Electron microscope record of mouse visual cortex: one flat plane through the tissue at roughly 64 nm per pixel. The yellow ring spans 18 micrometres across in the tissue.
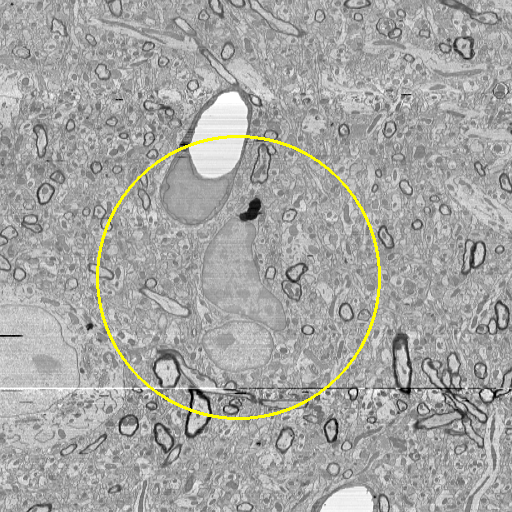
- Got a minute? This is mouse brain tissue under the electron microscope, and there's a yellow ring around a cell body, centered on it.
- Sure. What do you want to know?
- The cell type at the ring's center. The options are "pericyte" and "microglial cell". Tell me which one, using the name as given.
microglial cell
